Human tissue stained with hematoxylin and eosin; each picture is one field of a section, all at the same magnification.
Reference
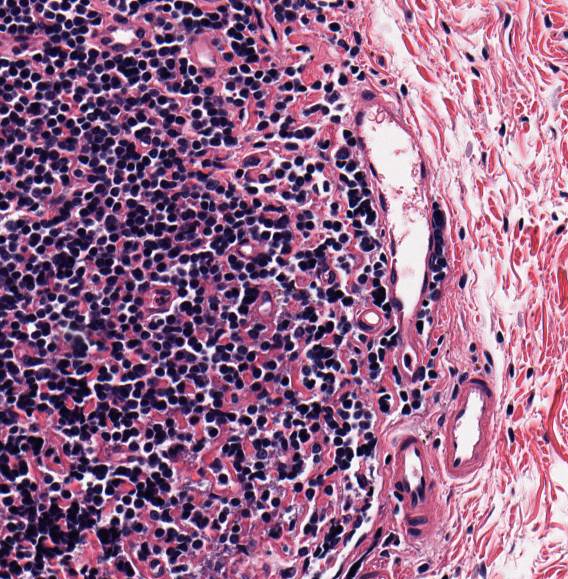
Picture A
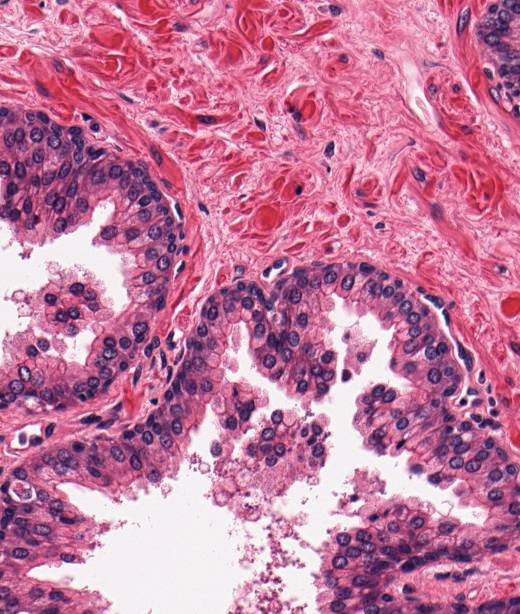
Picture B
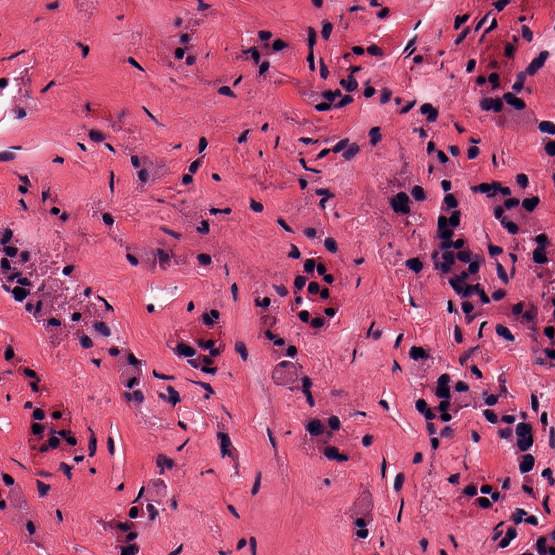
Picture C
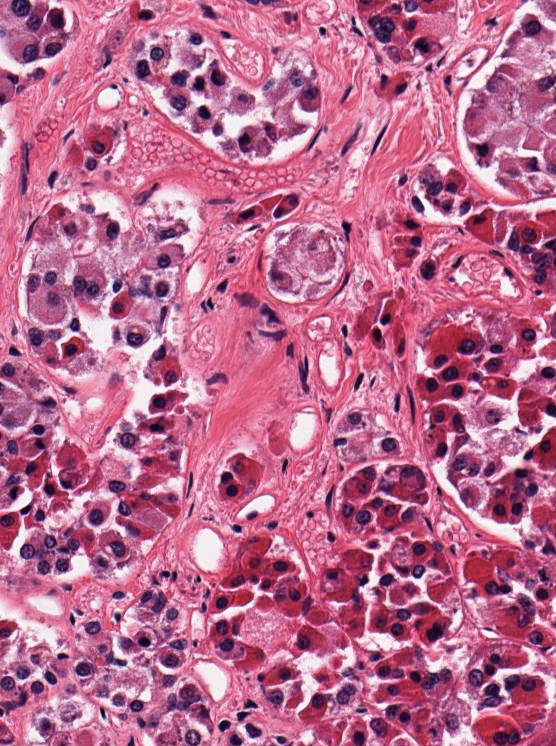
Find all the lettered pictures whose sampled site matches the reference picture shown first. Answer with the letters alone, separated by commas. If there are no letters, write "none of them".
none of them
